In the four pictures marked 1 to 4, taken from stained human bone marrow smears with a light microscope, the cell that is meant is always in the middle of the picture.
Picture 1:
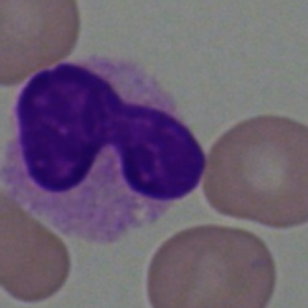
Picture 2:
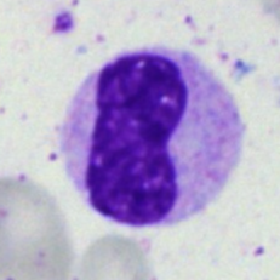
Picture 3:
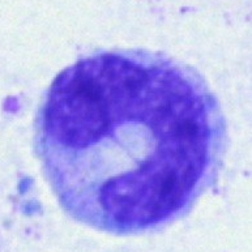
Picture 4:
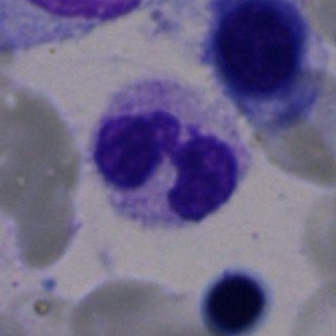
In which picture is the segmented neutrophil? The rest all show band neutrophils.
4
